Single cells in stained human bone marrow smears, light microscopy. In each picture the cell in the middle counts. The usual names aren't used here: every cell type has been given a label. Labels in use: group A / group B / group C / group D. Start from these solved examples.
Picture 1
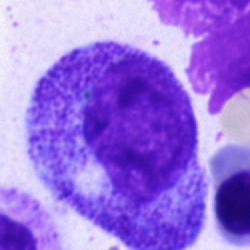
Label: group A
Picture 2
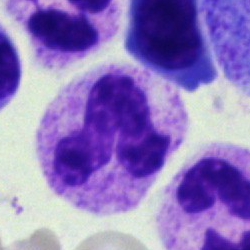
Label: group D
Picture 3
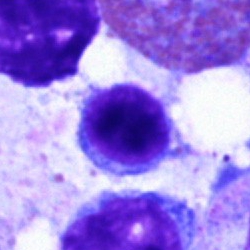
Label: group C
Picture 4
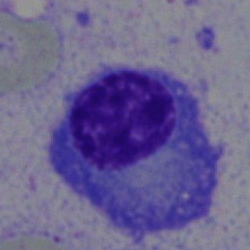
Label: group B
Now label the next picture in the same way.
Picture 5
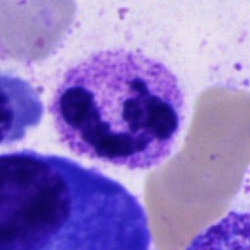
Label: group D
